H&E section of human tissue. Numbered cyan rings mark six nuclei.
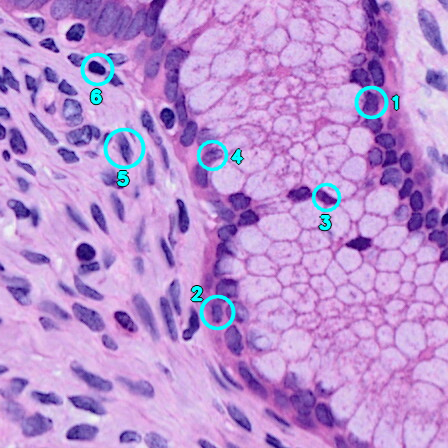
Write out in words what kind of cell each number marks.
Cell 1 is a secretory epithelial cell, cell 2 is a secretory epithelial cell, cell 3 is a secretory epithelial cell, cell 4 is a secretory epithelial cell, cell 5 is a fibroblast and cell 6 is a lymphocyte.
